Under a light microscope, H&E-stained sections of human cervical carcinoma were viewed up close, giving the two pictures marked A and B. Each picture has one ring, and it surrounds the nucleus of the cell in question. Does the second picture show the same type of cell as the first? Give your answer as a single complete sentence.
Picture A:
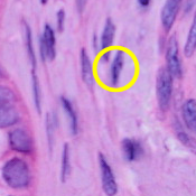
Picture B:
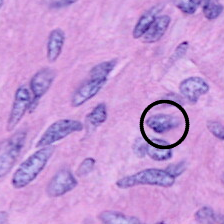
No; the cell in picture A is a fibroblast, while the one in picture B is a smooth muscle cell.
